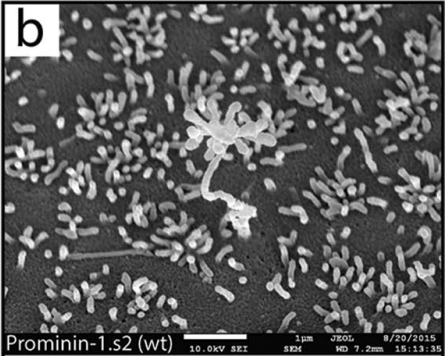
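This scanning electron micrograph shows, at higher magnification, the apical plasma membrane of an epithelial cell with a primary cilium. The surface is crowded with short, rod-like and slightly curved projections, some lying flat and others standing up, giving a bristly texture. In the centre a larger structure rises from the surface and ends in a tuft of radiating, branched membrane extensions, so that the cilium tip looks like a small flower or brush. Below it a thicker stalk-like portion curves down toward the membrane. The background membrane between projections has a fine granular appearance.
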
